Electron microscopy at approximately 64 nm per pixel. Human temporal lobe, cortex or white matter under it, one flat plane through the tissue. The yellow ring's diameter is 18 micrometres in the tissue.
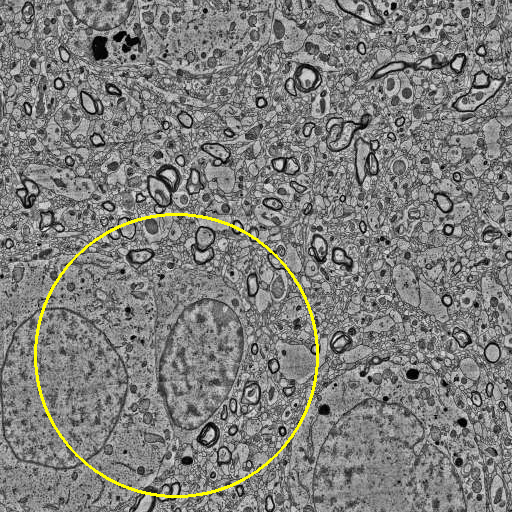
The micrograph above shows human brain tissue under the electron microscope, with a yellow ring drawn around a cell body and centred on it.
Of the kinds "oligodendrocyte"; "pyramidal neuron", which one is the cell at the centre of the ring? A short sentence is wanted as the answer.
The one at the centre of the ring is an oligodendrocyte.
